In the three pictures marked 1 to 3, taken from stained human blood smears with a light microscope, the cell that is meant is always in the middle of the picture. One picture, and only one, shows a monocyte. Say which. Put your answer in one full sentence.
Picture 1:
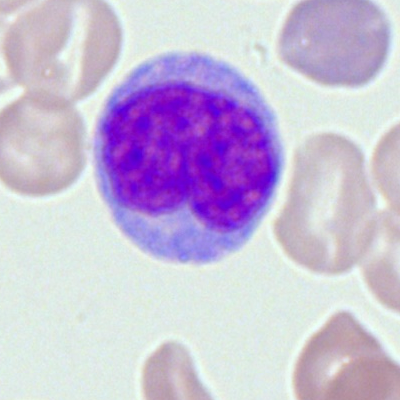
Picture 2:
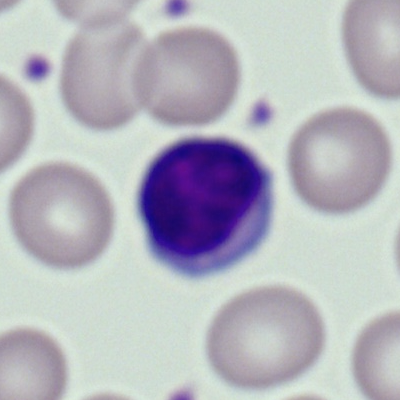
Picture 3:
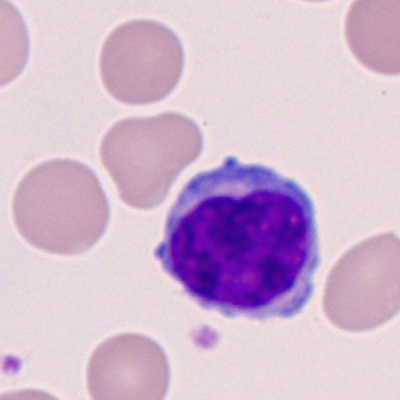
The monocyte is the one in picture 1.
